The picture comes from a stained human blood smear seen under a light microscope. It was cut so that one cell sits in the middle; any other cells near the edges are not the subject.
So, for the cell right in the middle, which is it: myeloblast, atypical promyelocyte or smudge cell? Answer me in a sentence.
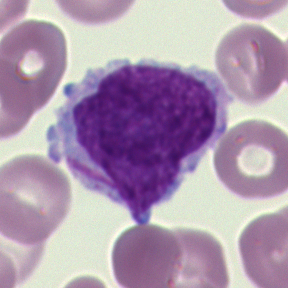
Occupying the centre of the crop is an atypical promyelocyte.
